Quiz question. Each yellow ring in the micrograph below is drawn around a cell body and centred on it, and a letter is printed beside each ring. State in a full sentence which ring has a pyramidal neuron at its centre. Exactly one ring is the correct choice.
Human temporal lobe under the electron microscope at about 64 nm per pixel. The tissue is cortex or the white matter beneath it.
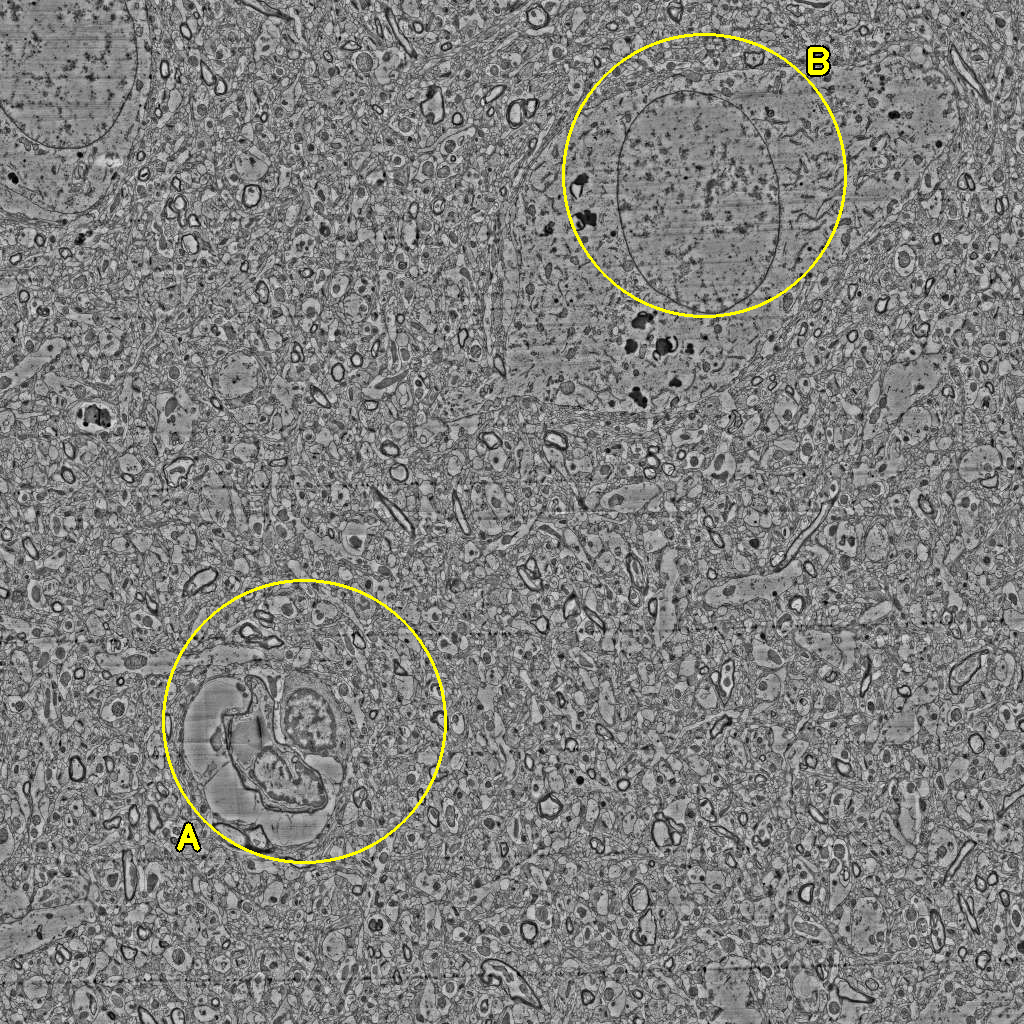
The correct ring is ring B.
